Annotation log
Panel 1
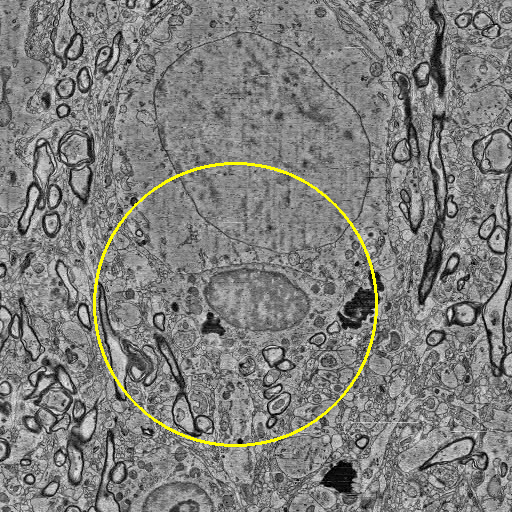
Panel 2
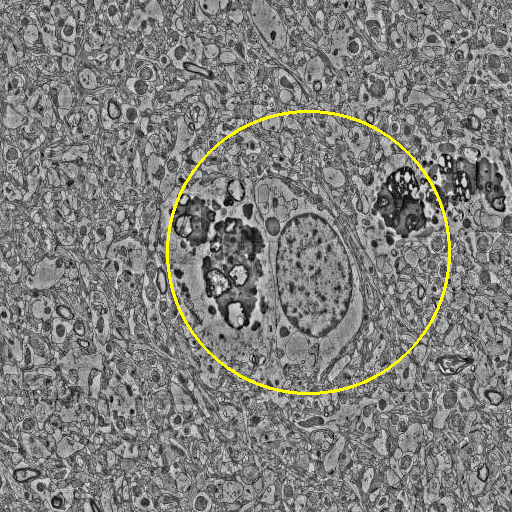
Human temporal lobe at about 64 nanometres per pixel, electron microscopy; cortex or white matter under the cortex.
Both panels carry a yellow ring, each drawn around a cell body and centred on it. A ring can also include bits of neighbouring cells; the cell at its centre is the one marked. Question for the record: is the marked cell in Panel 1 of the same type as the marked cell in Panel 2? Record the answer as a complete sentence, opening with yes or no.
No, the marked cells in Panel 1 and Panel 2 are of two types.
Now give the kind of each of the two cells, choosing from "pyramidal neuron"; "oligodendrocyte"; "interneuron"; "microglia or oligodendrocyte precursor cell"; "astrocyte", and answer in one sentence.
The cell in the first picture is an oligodendrocyte, and the cell in the second is an astrocyte.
